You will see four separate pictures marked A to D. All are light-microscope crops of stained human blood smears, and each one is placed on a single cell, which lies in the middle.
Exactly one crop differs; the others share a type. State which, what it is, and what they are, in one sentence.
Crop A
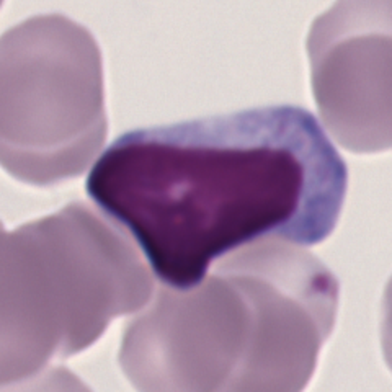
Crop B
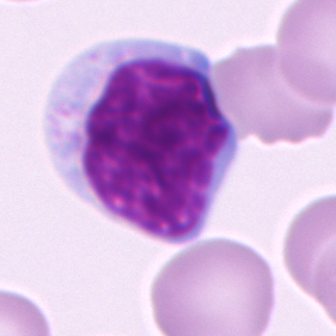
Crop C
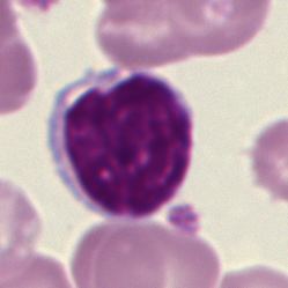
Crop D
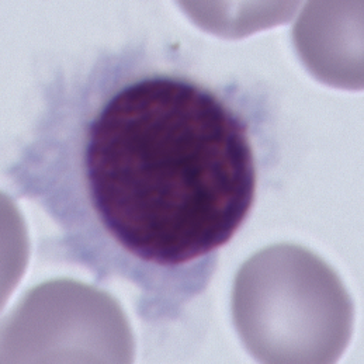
Crop D contains a hairy cell, setting it apart from the other crops, which all contain typical lymphocytes.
